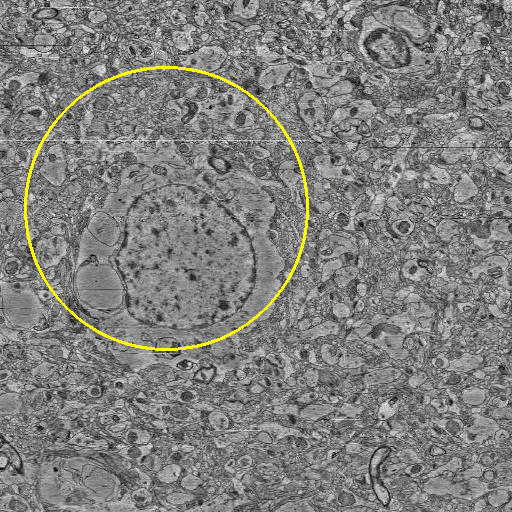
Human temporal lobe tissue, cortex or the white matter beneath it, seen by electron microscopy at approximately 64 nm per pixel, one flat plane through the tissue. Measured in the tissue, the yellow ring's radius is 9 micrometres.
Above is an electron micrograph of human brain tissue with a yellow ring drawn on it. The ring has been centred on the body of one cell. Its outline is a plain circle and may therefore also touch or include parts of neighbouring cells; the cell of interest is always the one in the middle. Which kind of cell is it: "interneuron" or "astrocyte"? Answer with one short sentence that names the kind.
The ring's central cell body is that of an astrocyte.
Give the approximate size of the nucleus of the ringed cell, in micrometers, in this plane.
About 10 micrometres across in this plane.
